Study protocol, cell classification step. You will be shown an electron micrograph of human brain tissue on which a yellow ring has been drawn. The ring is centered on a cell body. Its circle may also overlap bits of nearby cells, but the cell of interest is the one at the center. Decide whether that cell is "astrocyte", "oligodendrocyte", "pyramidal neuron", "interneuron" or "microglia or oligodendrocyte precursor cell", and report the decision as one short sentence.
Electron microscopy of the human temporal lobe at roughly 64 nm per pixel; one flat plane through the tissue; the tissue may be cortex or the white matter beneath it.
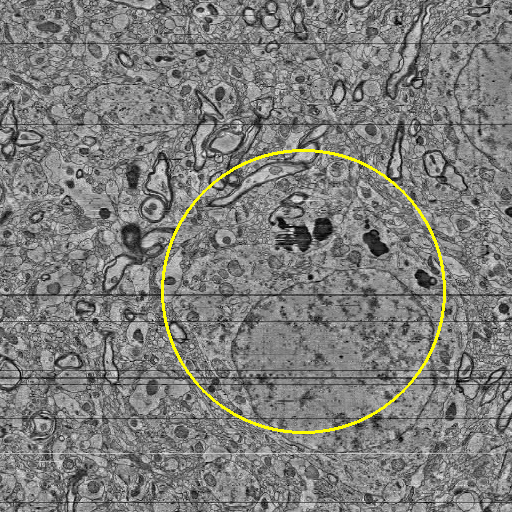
The marked cell is a pyramidal neuron.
